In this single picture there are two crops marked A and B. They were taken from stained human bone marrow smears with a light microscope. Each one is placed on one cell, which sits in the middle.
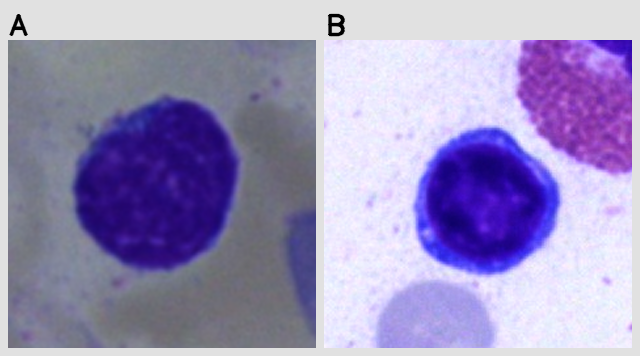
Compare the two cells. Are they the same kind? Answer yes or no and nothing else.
yes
